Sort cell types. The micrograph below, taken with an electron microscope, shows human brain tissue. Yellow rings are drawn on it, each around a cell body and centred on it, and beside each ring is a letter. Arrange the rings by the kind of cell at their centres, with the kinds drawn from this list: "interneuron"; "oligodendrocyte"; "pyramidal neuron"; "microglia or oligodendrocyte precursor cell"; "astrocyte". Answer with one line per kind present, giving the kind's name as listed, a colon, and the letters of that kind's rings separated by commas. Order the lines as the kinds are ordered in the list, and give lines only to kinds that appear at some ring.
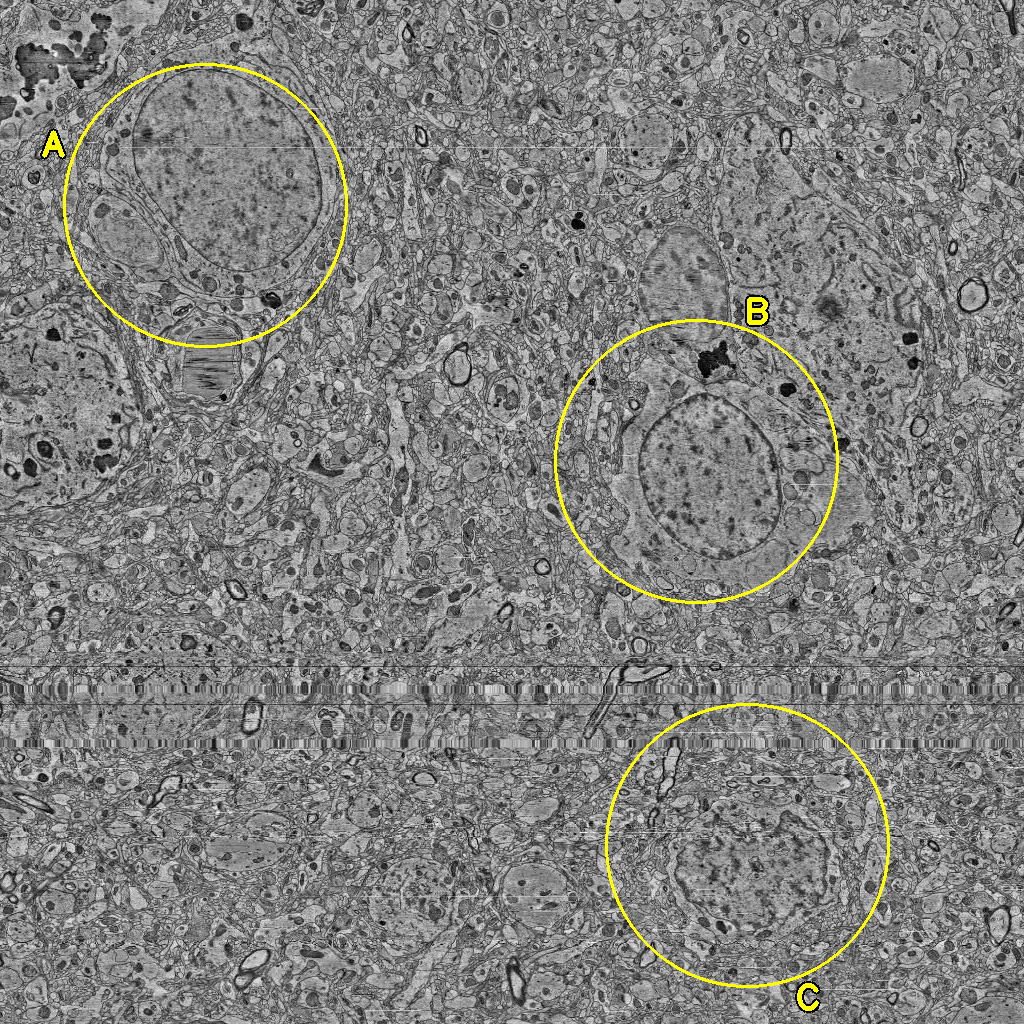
interneuron: C
pyramidal neuron: A
astrocyte: B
